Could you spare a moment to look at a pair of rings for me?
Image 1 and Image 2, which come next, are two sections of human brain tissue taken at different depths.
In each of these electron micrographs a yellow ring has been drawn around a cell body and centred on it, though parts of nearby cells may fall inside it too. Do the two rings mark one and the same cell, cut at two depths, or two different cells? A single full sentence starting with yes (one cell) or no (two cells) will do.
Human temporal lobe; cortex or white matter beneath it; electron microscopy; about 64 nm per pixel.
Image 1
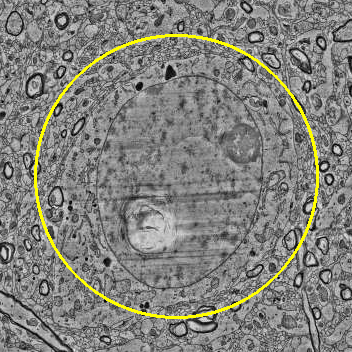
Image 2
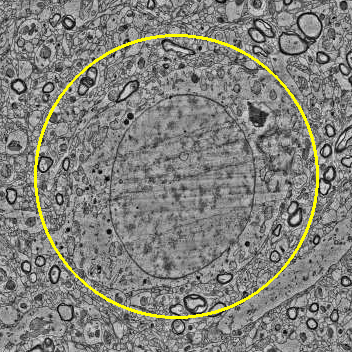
Yes, the cell marked in each ring is one and the same.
